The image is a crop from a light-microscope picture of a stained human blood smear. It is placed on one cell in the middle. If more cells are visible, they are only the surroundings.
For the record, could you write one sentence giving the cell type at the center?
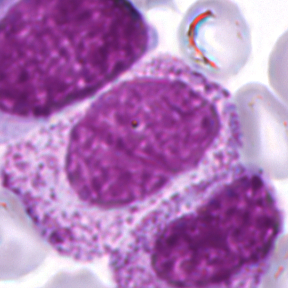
In the middle of this smear crop, the cell is a myelocyte.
